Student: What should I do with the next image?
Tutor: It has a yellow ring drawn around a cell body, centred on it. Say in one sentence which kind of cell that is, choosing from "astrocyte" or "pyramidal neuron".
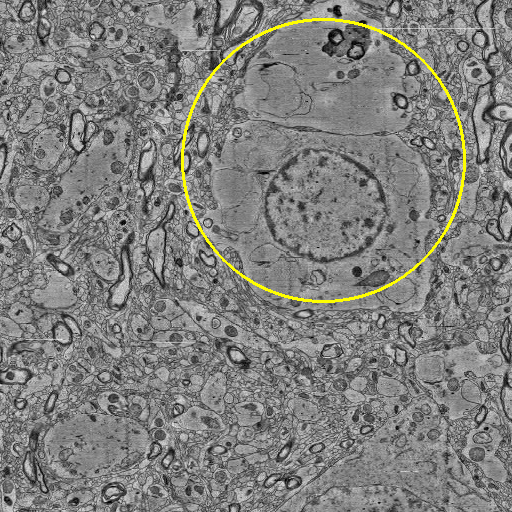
The ring's centre is occupied by an astrocyte.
